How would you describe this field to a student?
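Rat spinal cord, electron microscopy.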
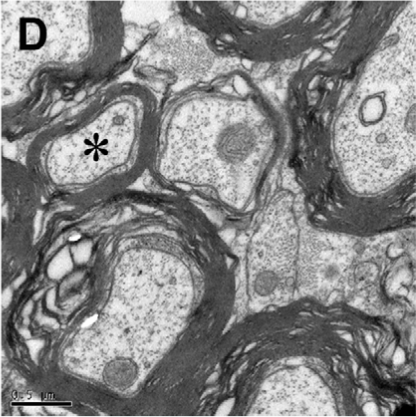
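Rounded profiles filled with pale, finely filamentous cytoplasm, some containing small organelles, are each enclosed by a thick, dark, layered sheath; some sheaths appear loosened or split into separate lamellae. These are cross-sectioned axons surrounded by myelin sheaths.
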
